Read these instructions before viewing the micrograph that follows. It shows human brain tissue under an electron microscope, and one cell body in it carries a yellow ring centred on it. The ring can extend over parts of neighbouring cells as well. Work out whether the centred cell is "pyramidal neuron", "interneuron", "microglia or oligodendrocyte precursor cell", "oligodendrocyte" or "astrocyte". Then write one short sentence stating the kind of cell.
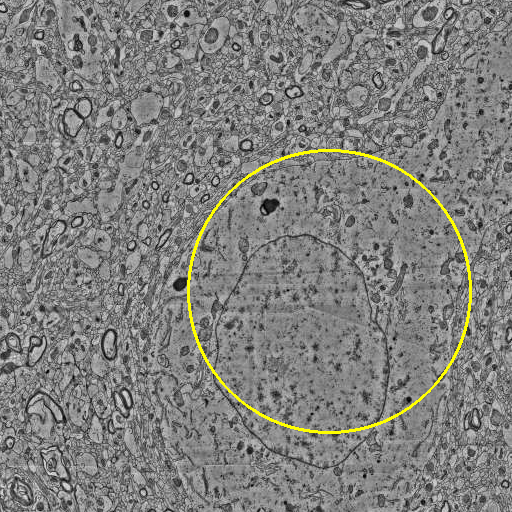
The ringed cell is a pyramidal neuron.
